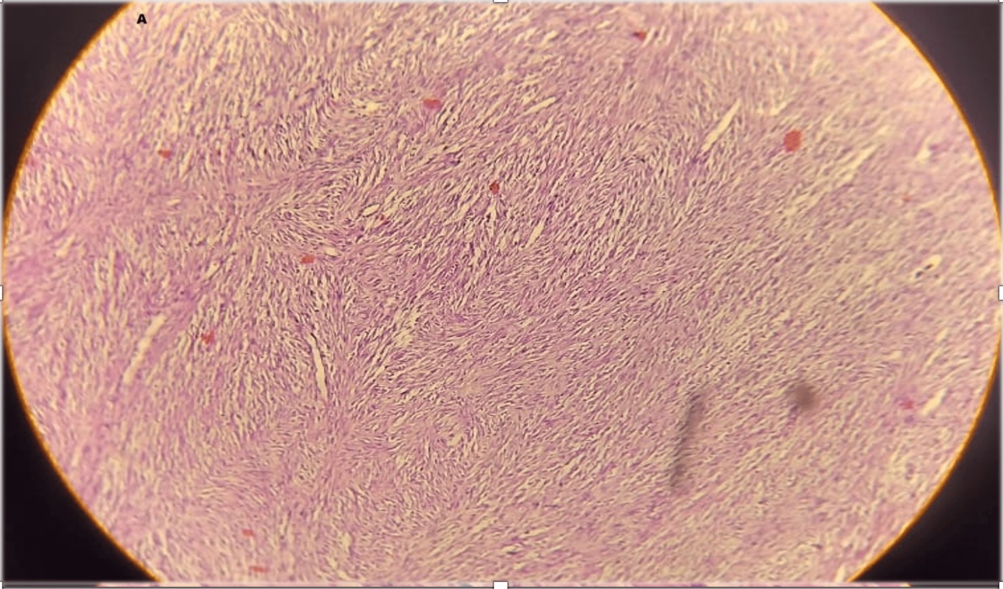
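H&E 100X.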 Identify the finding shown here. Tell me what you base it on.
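A dense, cellular sheet of elongated, spindle-shaped cells fills the field. Little intervening normal tissue is visible.
Answer: spindle cell tumour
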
